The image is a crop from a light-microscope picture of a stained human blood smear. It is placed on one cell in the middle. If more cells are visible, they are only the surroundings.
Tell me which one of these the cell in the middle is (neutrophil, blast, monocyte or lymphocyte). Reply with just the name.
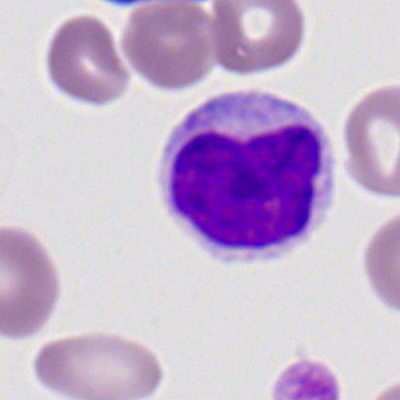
lymphocyte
